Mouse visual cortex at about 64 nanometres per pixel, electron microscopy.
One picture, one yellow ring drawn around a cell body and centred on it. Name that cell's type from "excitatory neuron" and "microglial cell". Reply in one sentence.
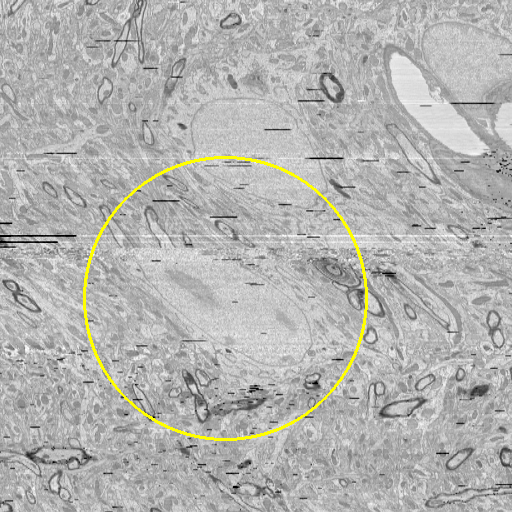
Centred in the ring is an excitatory neuron.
